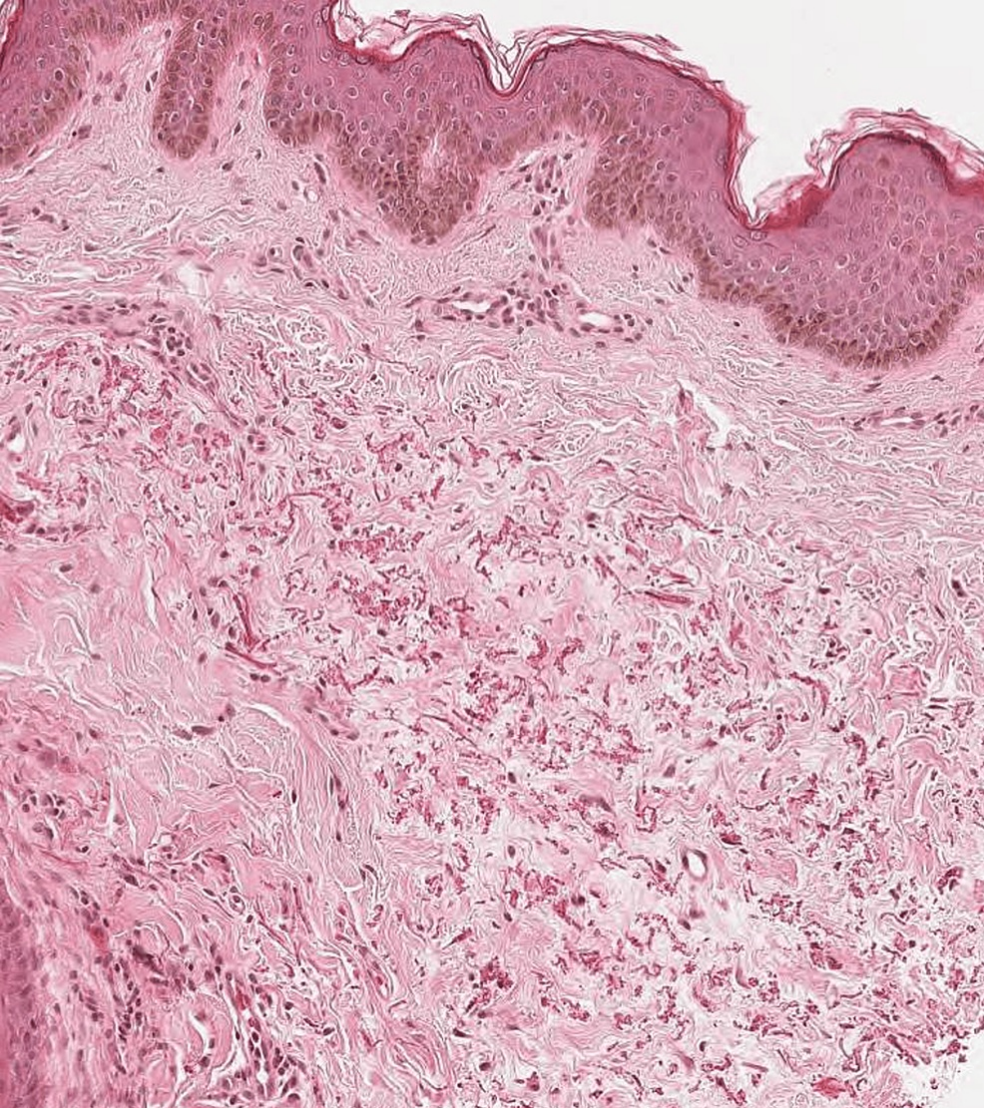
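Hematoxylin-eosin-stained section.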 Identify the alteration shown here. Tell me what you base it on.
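The mid dermis holds many short, curled, fragmented fibers. These fibers stain darker and more purplish than the surrounding pale pink collagen. The fibers lie in irregular clumps rather than as long, straight strands. The answer: altered elastic fibers.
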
